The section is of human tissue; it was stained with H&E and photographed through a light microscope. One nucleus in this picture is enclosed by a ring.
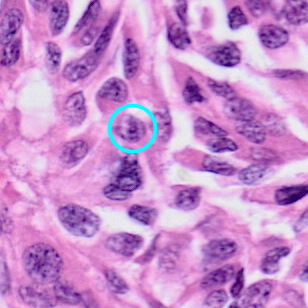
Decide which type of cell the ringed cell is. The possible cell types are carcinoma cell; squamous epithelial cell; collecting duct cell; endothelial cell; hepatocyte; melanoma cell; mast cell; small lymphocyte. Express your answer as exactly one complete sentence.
As a matter of cell type, the ringed cell is a melanoma cell.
